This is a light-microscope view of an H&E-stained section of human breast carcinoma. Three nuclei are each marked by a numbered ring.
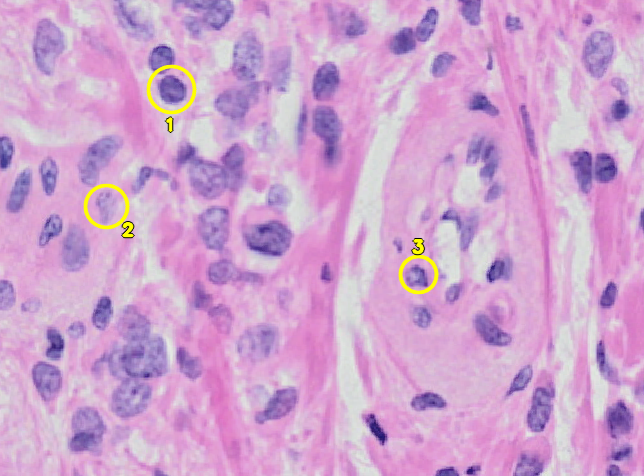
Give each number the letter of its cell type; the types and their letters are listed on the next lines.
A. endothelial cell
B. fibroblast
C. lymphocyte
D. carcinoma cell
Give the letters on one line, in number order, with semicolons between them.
D; A; A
